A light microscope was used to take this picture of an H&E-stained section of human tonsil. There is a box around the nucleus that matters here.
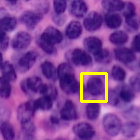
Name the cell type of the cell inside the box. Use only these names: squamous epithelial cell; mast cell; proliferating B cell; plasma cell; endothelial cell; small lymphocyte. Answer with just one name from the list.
small lymphocyte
